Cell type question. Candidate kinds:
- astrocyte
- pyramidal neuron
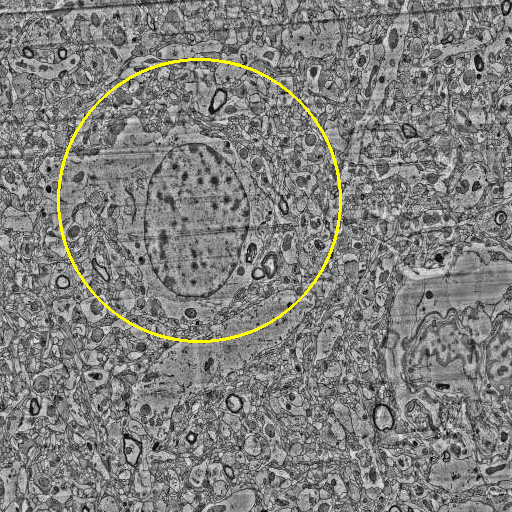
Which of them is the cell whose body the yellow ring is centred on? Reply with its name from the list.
astrocyte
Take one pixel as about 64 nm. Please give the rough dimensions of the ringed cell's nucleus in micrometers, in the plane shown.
The ringed cell's nucleus is about 10 micrometres long and 7 micrometres wide in this plane.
